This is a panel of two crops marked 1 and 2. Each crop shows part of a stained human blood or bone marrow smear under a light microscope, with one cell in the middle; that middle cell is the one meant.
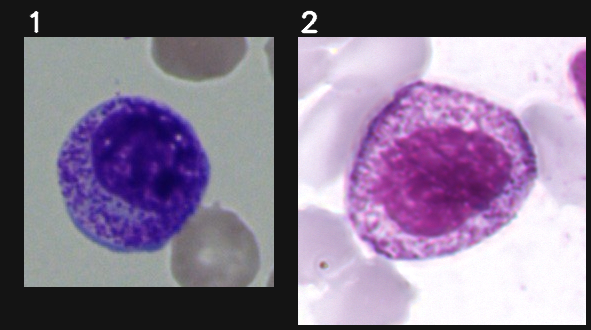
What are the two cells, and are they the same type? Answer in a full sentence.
Yes, both crops, not just one, show myelocytes.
